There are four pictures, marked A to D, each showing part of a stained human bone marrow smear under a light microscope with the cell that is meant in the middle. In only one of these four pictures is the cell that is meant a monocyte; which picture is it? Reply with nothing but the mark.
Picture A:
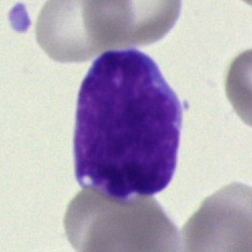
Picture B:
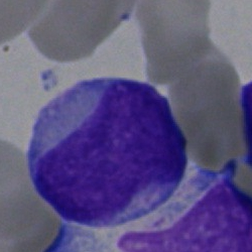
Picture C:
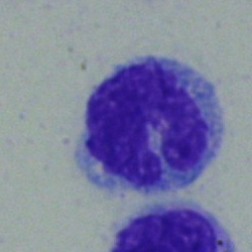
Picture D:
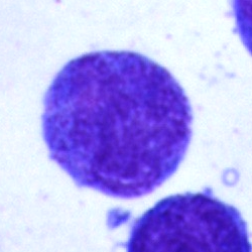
C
